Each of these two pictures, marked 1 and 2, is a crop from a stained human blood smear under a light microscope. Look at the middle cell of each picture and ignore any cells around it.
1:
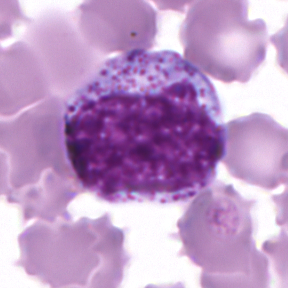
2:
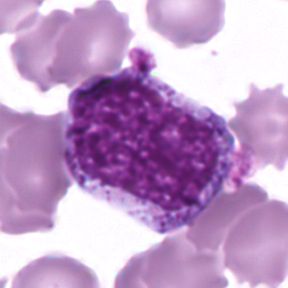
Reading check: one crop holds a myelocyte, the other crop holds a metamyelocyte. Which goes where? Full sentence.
Crop 1 contains a metamyelocyte, and crop 2 contains a myelocyte.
